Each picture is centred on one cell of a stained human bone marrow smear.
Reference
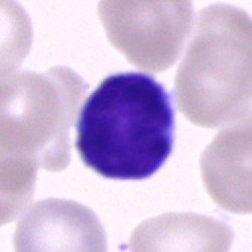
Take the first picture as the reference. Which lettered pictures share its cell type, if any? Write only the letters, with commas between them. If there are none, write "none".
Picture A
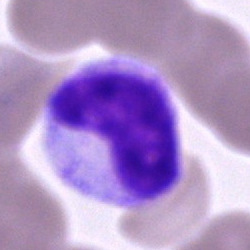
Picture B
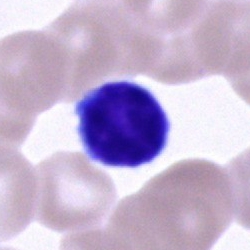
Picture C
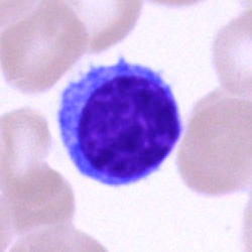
B, C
